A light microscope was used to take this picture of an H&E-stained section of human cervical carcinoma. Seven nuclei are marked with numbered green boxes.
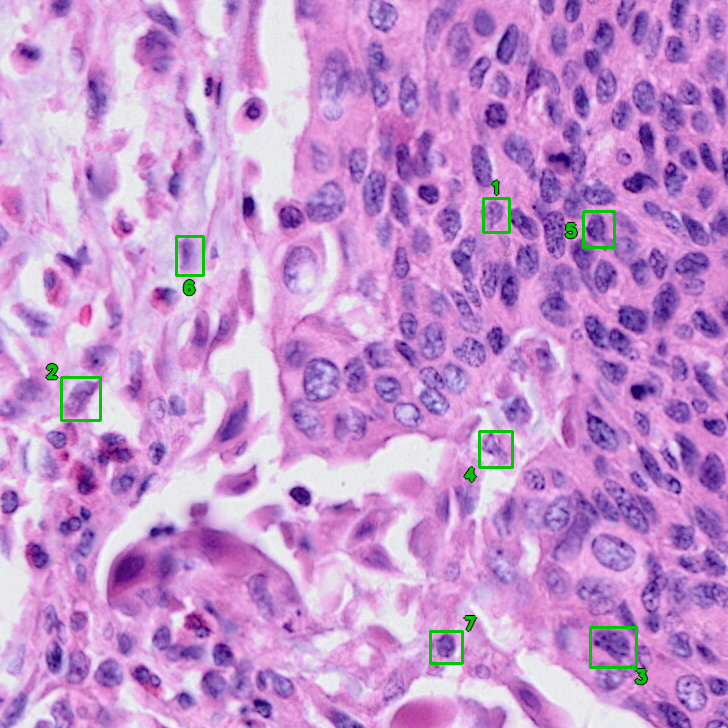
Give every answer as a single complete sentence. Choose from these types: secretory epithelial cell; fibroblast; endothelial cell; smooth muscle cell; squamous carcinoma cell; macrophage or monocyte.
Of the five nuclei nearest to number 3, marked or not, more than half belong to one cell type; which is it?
Squamous carcinoma cells make up most of the five nuclei closest to number 3.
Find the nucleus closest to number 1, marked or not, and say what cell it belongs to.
The nearest nucleus to number 1 belongs to a squamous carcinoma cell.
